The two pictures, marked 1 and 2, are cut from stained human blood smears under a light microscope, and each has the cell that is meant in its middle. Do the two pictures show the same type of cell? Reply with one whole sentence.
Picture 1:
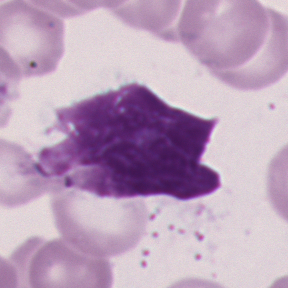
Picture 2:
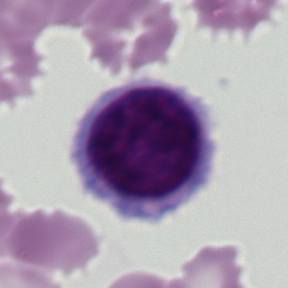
No. Picture 1 shows a smudge cell, but picture 2 shows a hairy cell.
